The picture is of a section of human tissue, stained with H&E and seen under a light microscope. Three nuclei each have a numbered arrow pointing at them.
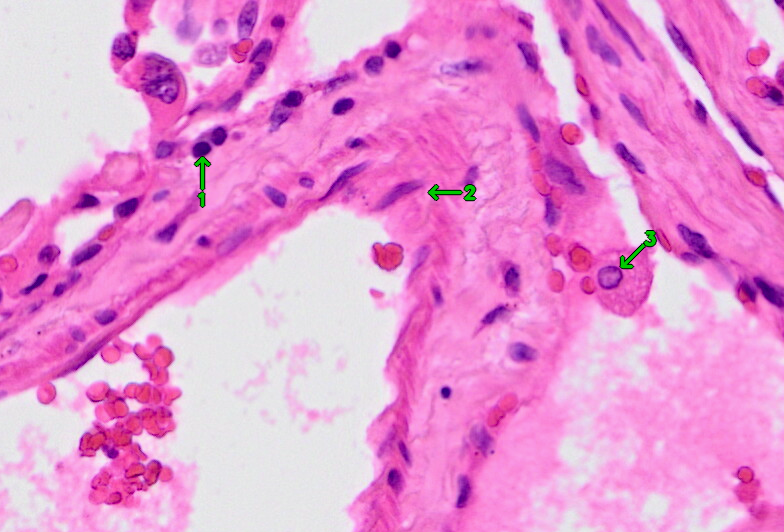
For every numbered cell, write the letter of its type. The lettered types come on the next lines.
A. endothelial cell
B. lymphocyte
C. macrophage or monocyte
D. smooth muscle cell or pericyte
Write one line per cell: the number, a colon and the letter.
1: B
2: D
3: C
